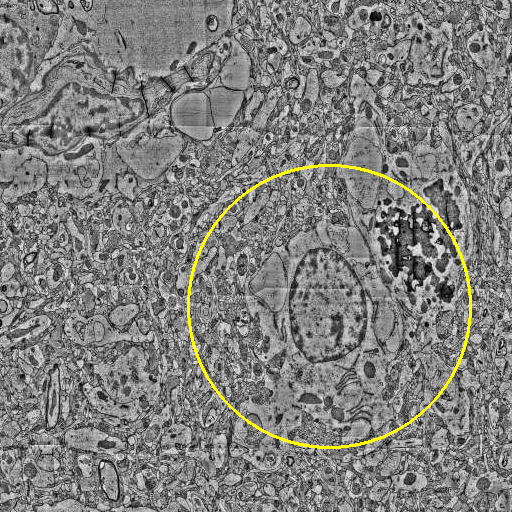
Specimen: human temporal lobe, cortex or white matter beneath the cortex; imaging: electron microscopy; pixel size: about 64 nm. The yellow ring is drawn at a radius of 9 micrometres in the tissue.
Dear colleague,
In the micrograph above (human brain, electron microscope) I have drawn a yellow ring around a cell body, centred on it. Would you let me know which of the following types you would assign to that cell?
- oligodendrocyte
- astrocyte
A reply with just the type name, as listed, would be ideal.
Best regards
astrocyte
